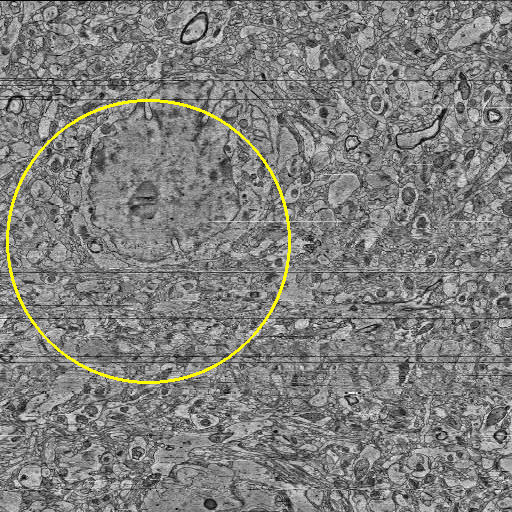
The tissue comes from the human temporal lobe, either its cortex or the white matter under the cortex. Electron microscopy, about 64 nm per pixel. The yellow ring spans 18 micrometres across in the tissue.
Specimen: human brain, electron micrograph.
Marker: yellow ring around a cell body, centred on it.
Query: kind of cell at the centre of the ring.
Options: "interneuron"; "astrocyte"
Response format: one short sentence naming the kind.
This cell body belongs to an interneuron.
